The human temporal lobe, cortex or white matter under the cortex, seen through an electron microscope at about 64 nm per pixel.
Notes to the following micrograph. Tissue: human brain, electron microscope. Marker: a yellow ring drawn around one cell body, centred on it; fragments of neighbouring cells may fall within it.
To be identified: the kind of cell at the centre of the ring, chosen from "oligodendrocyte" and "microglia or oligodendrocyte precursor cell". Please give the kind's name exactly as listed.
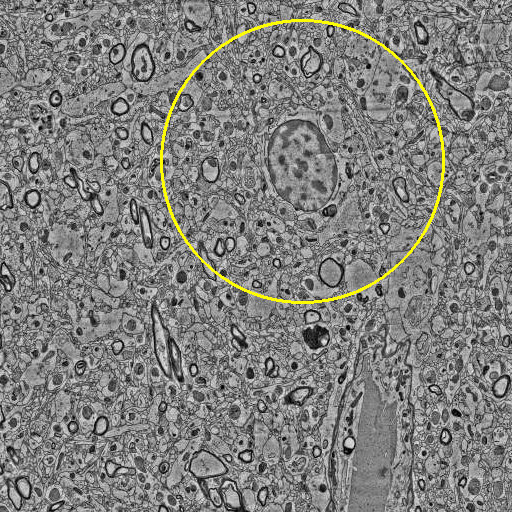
microglia or oligodendrocyte precursor cell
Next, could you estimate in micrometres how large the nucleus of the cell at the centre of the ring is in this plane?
The nucleus measures about 6 by 4 micrometres in this plane.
